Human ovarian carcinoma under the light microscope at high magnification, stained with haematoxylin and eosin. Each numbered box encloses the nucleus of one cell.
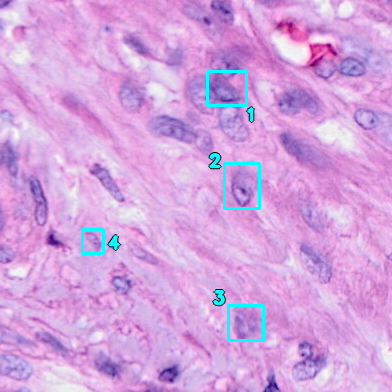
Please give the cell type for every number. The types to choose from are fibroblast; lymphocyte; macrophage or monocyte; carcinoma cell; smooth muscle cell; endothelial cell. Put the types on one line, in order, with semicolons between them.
endothelial cell; fibroblast; fibroblast; fibroblast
